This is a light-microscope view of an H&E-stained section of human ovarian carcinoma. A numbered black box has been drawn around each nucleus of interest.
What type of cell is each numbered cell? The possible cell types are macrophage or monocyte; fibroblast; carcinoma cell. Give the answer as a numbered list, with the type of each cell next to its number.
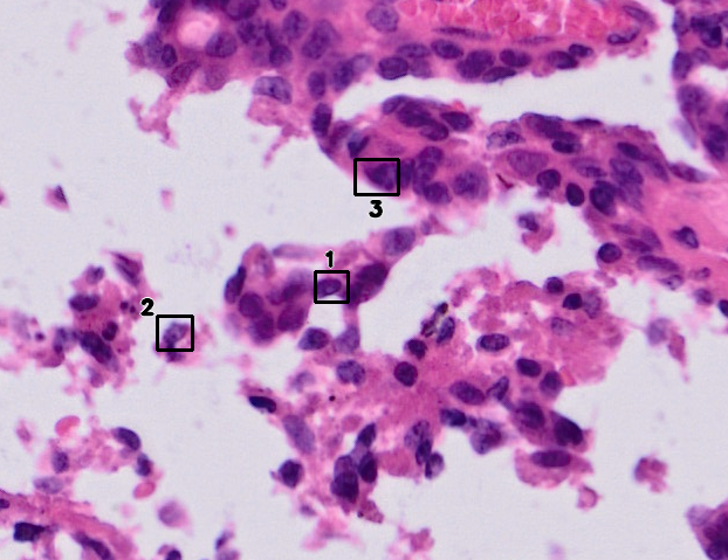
1. carcinoma cell
2. macrophage or monocyte
3. carcinoma cell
